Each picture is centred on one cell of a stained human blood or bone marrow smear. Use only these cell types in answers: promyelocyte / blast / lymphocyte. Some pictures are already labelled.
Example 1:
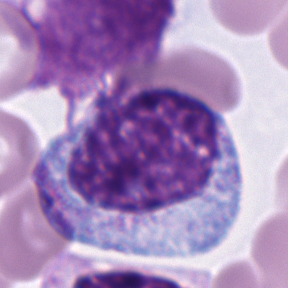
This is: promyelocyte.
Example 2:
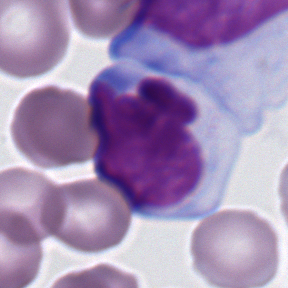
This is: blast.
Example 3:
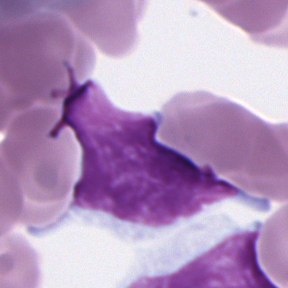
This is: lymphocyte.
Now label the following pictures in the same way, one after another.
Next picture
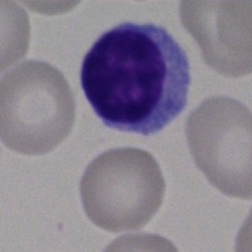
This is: lymphocyte.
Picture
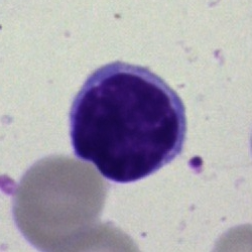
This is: lymphocyte.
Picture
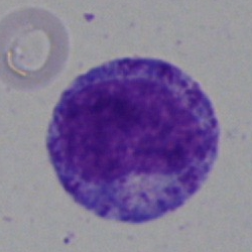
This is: promyelocyte.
